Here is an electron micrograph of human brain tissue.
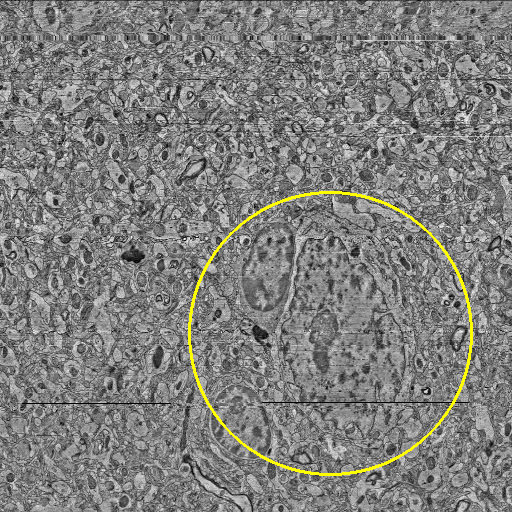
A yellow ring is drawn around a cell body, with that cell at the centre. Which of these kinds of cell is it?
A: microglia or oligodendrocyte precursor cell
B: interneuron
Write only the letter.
B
